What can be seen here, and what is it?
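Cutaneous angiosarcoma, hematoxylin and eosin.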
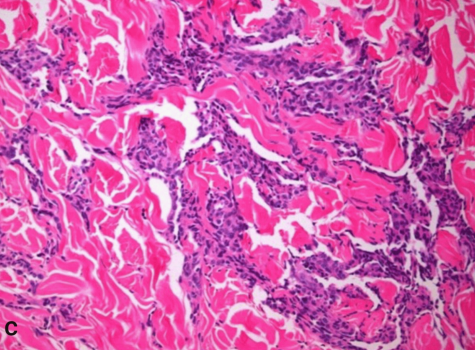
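This is dermis infiltrated by an ill-defined tumor that forms irregular vascular channels between thick pink collagen bundles. The channels are slit-like and branching, dissecting and separating the individual collagen bundles. They are lined by cells with dark, hyperchromatic nuclei that are crowded and uneven in size. The tumor has no sharp border and spreads diffusely through the collagen.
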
